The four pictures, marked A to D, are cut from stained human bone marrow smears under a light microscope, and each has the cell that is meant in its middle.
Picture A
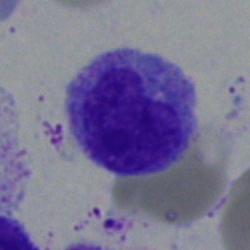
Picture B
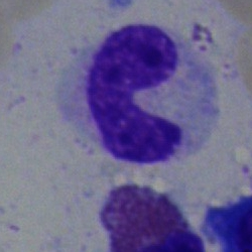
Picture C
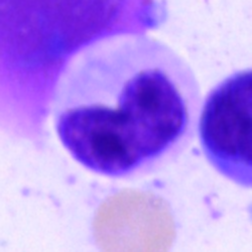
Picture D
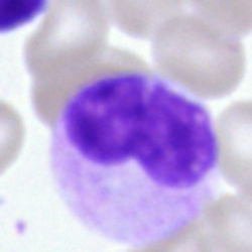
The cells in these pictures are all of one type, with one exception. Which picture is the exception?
B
